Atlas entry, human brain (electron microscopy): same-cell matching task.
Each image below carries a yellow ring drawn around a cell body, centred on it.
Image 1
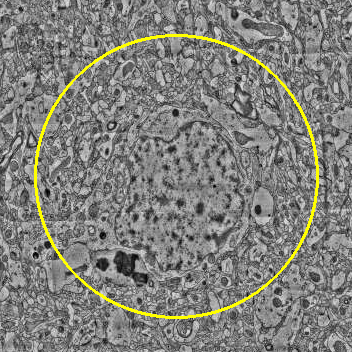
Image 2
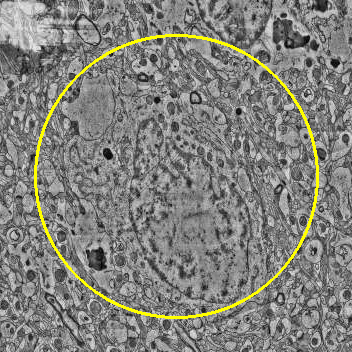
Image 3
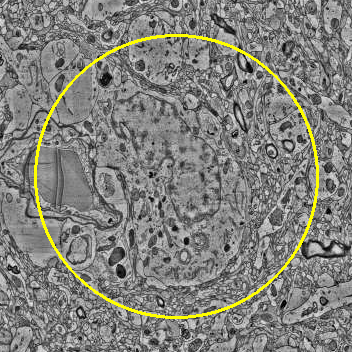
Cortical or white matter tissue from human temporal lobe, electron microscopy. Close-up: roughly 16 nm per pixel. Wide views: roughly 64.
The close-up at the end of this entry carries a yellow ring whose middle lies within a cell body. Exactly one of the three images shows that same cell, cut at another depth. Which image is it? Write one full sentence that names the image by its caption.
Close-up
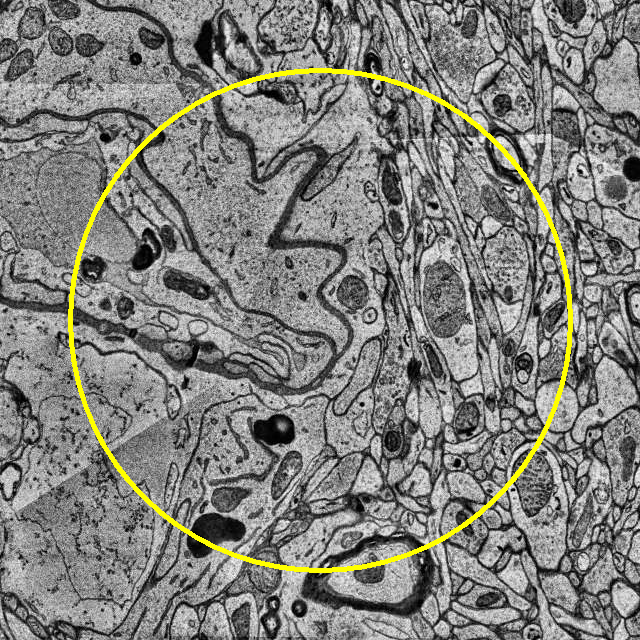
The enlargement corresponds to the cell circled in Image 3.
